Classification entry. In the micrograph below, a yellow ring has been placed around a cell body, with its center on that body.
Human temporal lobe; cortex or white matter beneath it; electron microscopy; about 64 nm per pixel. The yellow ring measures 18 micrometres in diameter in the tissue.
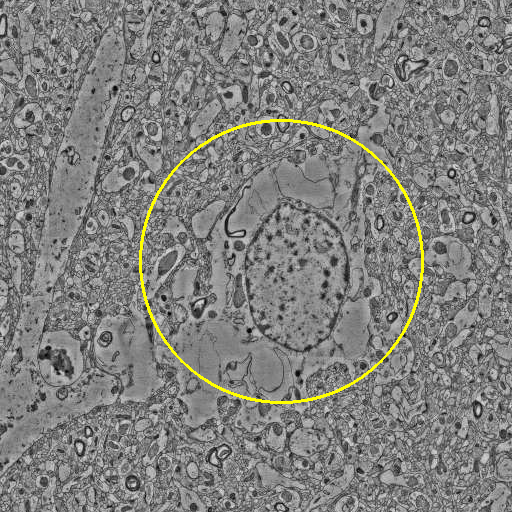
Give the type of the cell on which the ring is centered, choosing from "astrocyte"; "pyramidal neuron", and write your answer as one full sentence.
The cell body at the center of the yellow ring belongs to an astrocyte.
